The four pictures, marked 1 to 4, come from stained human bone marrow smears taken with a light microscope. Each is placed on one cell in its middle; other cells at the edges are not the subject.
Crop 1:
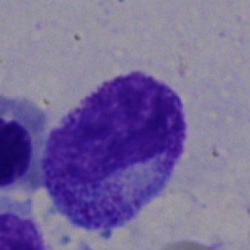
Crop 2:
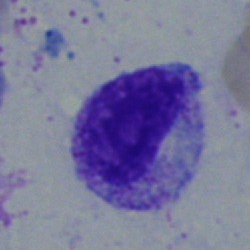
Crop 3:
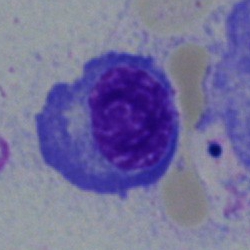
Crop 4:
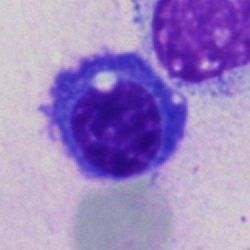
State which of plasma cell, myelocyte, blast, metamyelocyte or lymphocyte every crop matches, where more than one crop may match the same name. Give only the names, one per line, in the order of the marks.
myelocyte
myelocyte
plasma cell
plasma cell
